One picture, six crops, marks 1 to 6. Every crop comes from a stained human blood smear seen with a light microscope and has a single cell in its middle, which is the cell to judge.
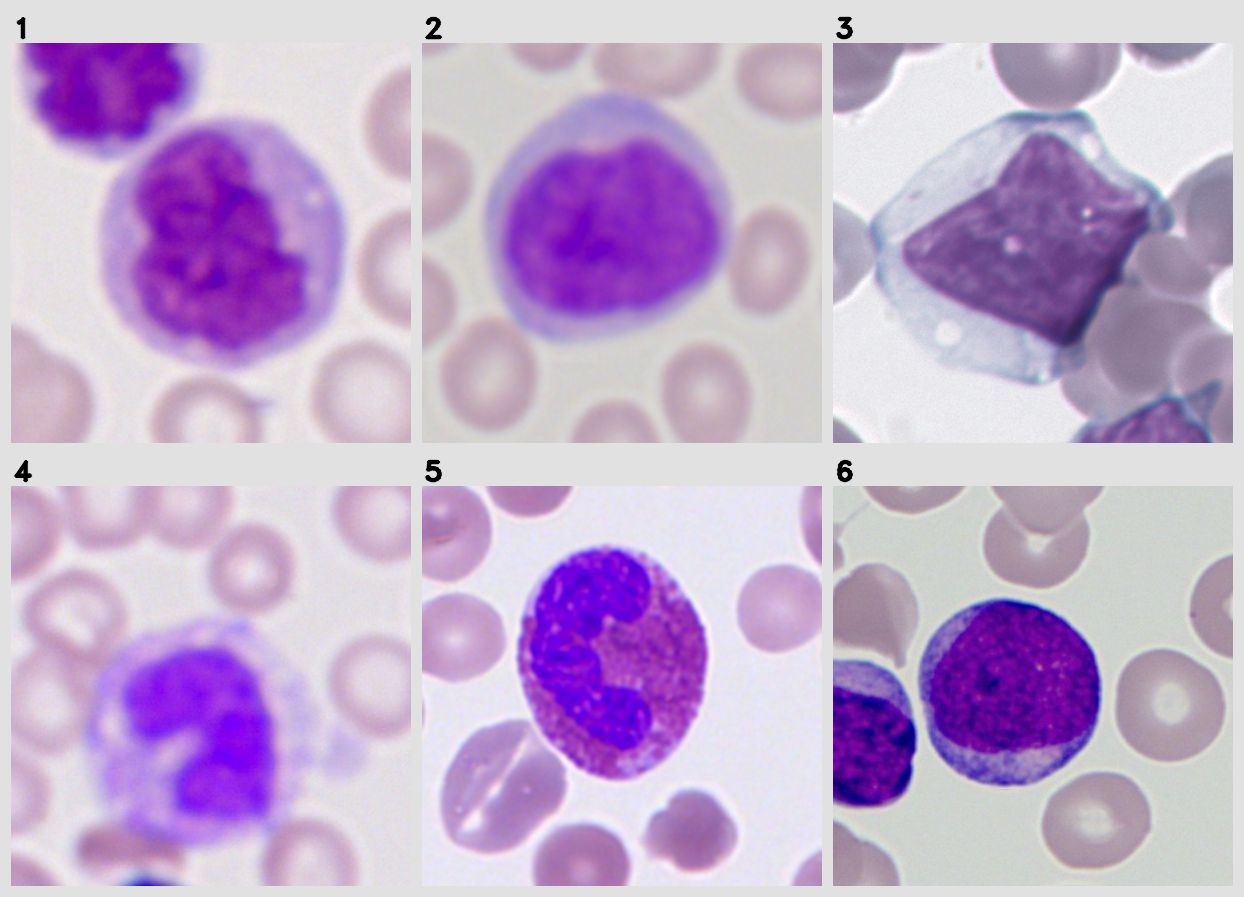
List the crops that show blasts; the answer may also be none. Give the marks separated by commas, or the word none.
2, 3, 6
